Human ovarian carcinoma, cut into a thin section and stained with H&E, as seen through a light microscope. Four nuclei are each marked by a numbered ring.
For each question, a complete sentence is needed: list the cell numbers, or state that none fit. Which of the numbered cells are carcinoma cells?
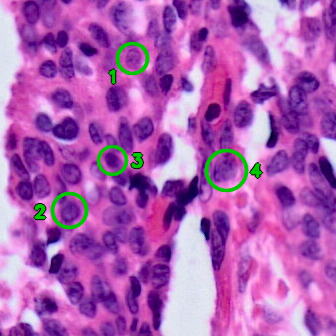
The cells to which the numbers 1, 2 and 3 refer are carcinoma cells.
